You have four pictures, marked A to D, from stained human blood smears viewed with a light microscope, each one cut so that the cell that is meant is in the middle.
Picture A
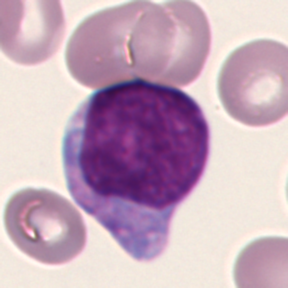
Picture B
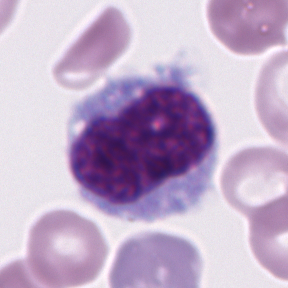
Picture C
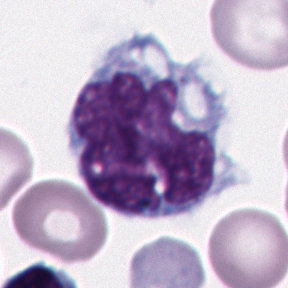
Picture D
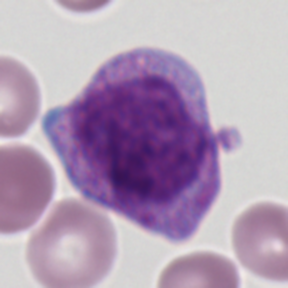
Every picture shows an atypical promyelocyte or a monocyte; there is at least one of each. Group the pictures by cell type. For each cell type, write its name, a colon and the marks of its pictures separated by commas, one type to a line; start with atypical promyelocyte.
atypical promyelocyte: A, D
monocyte: B, C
